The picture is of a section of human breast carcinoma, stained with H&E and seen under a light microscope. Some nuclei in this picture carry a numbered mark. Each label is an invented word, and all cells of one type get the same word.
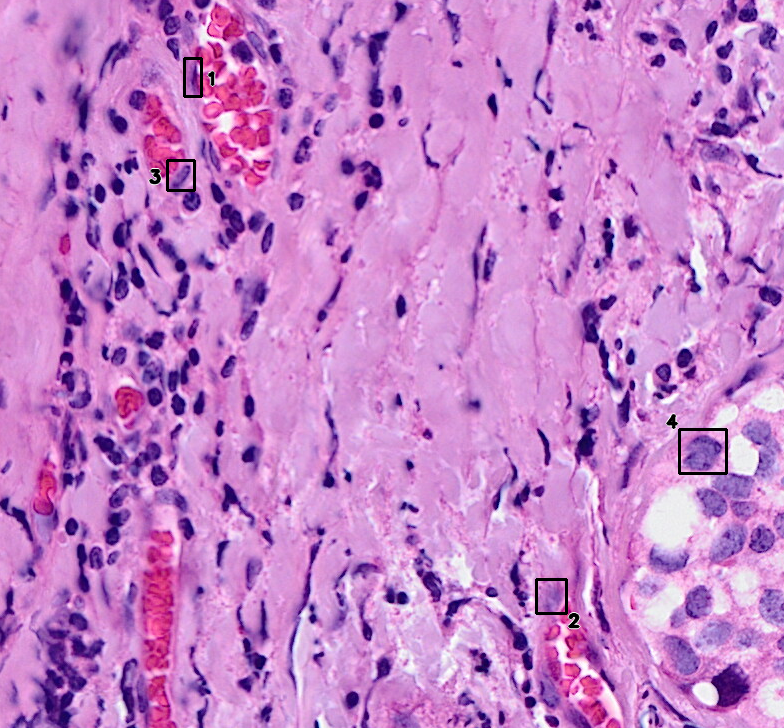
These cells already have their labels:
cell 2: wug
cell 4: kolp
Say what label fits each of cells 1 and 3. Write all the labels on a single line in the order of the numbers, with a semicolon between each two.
wug; wug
